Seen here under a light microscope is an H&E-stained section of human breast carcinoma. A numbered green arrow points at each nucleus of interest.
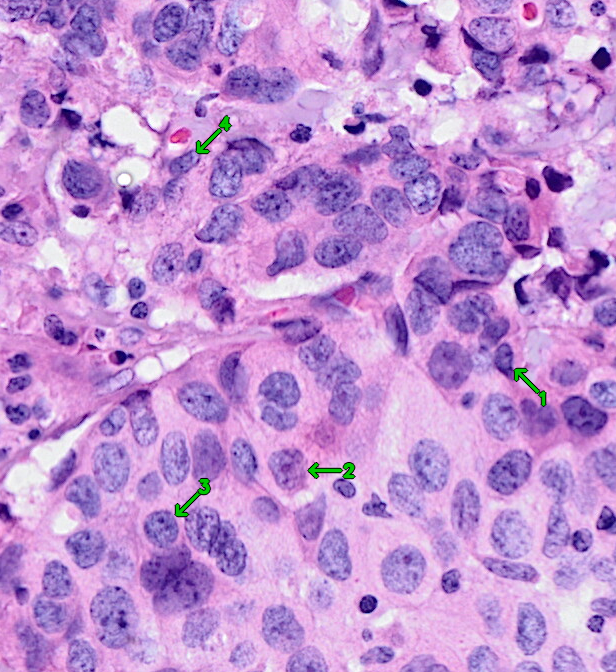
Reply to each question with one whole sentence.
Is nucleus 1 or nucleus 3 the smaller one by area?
The smaller nucleus is 1, and 3 covers roughly 2 times its area.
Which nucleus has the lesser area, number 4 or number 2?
Number 4 is smaller, since number 2 takes up about 2 times as much area.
